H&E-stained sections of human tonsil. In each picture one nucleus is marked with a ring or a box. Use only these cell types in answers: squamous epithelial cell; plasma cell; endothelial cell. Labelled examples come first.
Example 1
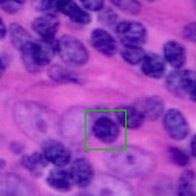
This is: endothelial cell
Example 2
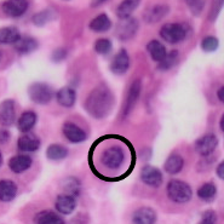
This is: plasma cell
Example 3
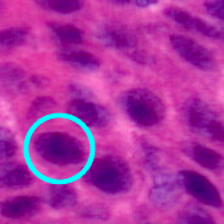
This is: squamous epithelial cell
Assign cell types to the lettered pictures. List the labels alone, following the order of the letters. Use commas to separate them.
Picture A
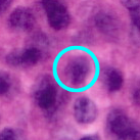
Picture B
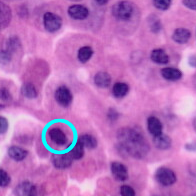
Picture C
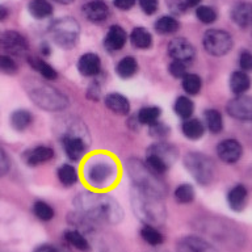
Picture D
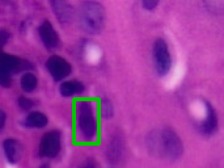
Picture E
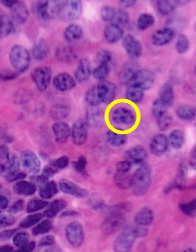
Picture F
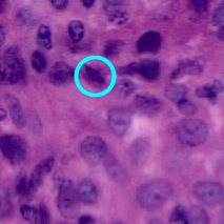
squamous epithelial cell, plasma cell, endothelial cell, squamous epithelial cell, plasma cell, squamous epithelial cell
